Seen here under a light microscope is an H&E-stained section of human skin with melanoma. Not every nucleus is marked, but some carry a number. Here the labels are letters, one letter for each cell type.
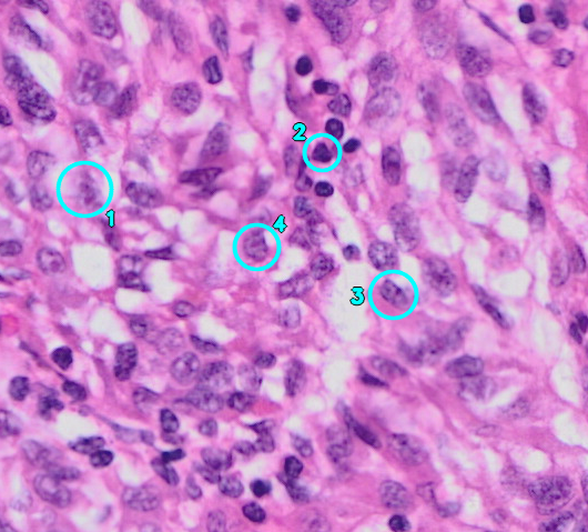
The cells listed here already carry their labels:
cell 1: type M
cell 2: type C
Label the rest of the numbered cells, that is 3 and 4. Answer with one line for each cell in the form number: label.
3: type M
4: type M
